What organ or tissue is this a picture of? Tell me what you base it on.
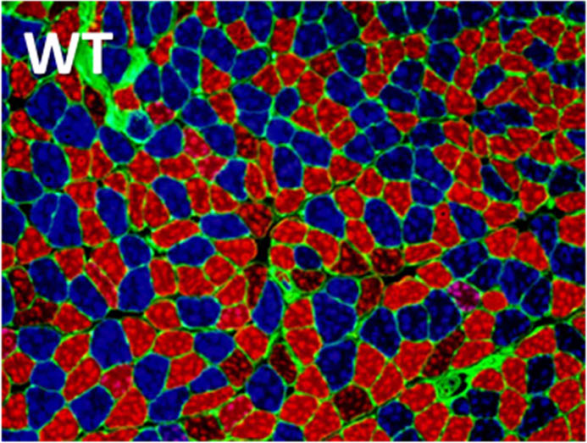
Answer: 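Skeletal muscle. Closely packed polygonal profiles of similar size fill the field, as in a cross-section. Each polygonal profile is outlined by a thin green rim. Wider green strands of connective tissue run between groups of profiles.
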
